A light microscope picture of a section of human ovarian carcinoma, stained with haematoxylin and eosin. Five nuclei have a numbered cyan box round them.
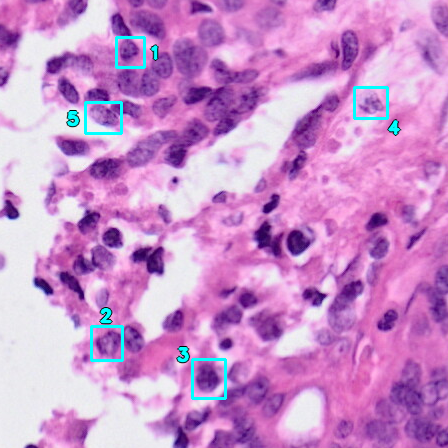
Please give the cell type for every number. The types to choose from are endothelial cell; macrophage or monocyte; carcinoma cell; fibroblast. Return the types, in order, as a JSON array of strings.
["macrophage or monocyte", "macrophage or monocyte", "carcinoma cell", "macrophage or monocyte", "carcinoma cell"]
